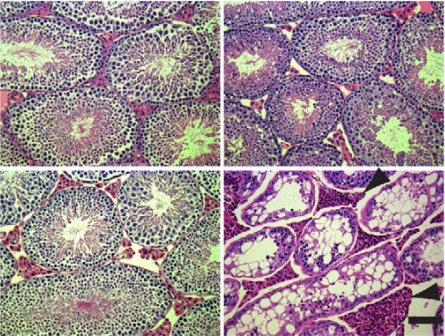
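These are cross-sections of seminiferous tubules of the testis. In three of the images, each tubule is filled by many layers of germ cells, with tails of sperm gathered in the central lumen. In one image, the tubules have lost most of their germ cells and look empty and vacuolated, while the spaces between them hold large clusters of Leydig cells with pink cytoplasm.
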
